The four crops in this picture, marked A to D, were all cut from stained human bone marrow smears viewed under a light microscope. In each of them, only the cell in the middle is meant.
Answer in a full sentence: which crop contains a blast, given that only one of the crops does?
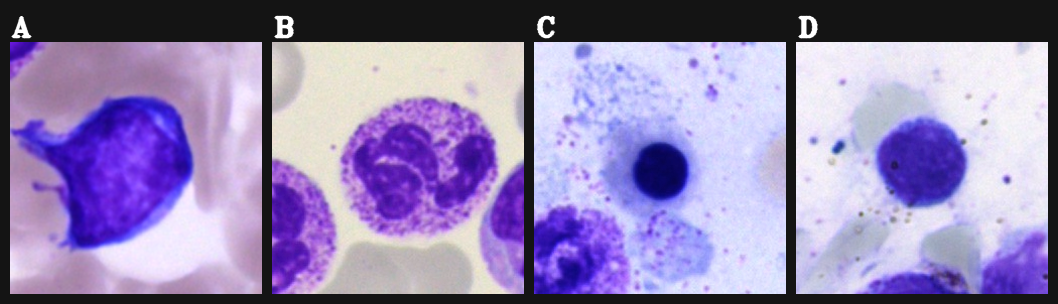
Among the crops, only crop A contains a blast.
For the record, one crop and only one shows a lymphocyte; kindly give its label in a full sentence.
The cell identified as a lymphocyte is the one in crop D.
